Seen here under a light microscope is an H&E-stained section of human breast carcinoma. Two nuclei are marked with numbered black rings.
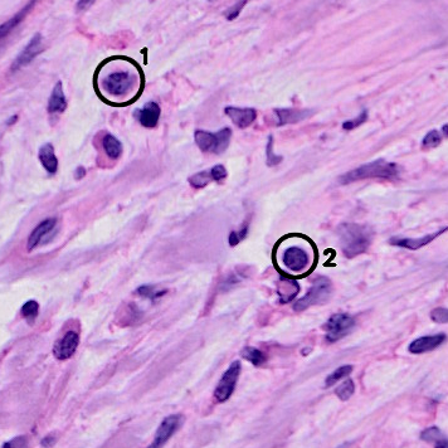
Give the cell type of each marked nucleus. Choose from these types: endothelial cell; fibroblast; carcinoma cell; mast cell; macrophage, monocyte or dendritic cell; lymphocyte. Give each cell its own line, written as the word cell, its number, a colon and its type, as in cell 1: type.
cell 1: mast cell
cell 2: lymphocyte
